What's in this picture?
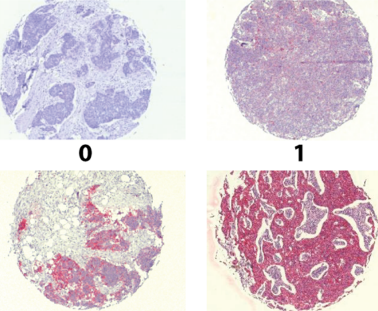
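In one, nests of tumour cells are stained only blue. In another, the tissue is mostly blue with a faint reddish tinge. In a third, red stain lies in patches among pale, fatty-looking stroma. In the fourth, sheets and glandular islands of tumour cells are stained densely and evenly deep red, with pale spaces between them. The cores thus range from unstained to strongly stained tumour tissue.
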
